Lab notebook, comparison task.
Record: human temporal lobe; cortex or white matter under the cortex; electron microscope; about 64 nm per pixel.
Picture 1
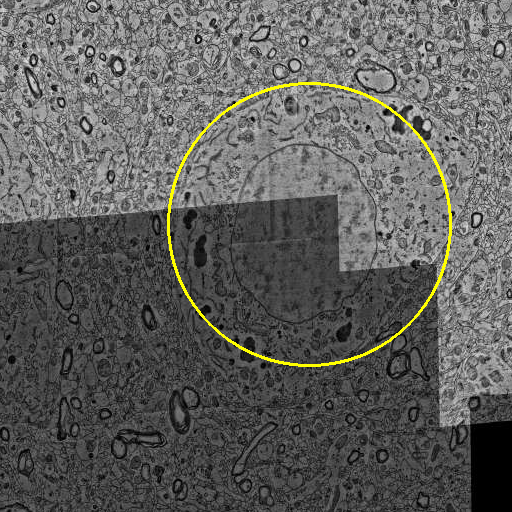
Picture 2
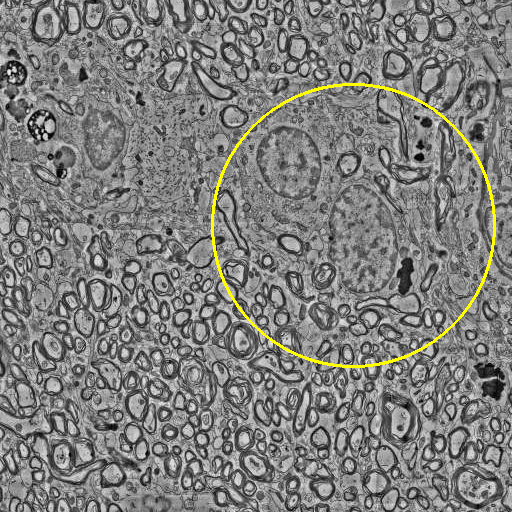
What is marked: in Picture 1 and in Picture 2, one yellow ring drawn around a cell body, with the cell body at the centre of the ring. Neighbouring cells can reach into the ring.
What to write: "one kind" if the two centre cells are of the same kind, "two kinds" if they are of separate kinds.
two kinds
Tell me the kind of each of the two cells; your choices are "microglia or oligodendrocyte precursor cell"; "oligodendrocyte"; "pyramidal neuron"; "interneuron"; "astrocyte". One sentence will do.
The ringed cell is a pyramidal neuron in the first picture and an oligodendrocyte in the second picture.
